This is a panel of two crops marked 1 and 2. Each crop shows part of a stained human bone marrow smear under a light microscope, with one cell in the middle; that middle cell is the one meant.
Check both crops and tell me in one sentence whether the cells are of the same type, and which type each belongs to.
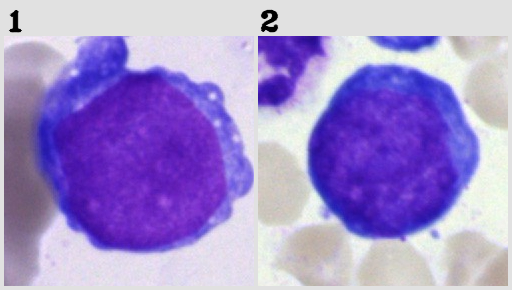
Yes, the cells at the centre of the two crops are both blasts.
